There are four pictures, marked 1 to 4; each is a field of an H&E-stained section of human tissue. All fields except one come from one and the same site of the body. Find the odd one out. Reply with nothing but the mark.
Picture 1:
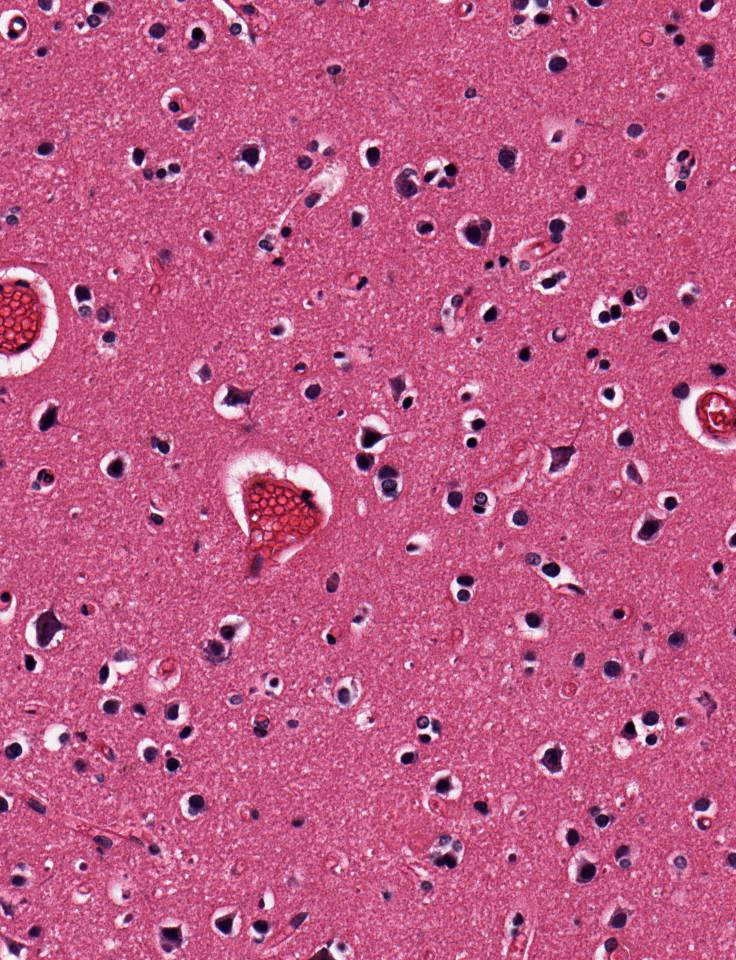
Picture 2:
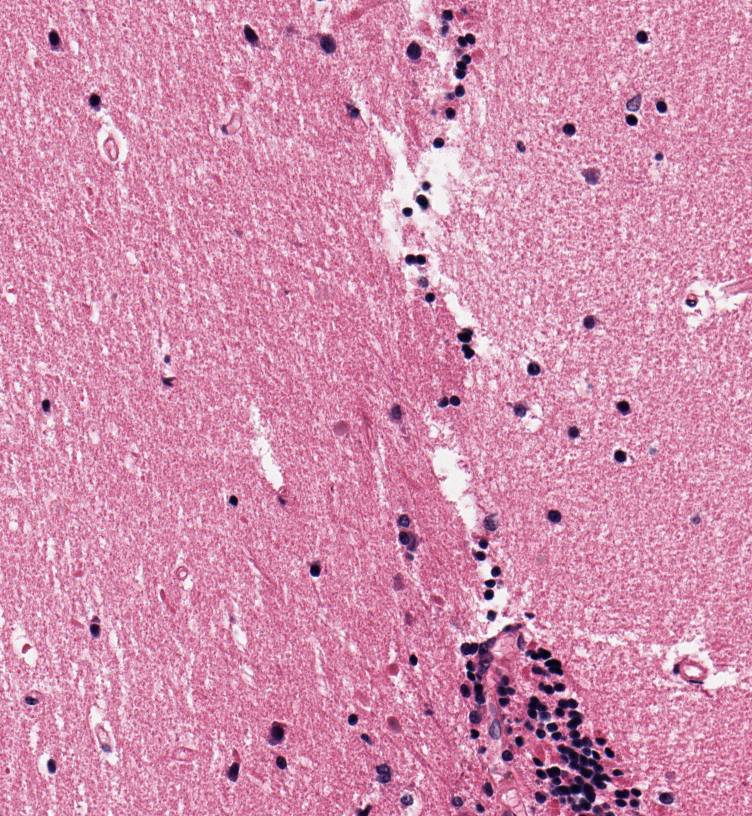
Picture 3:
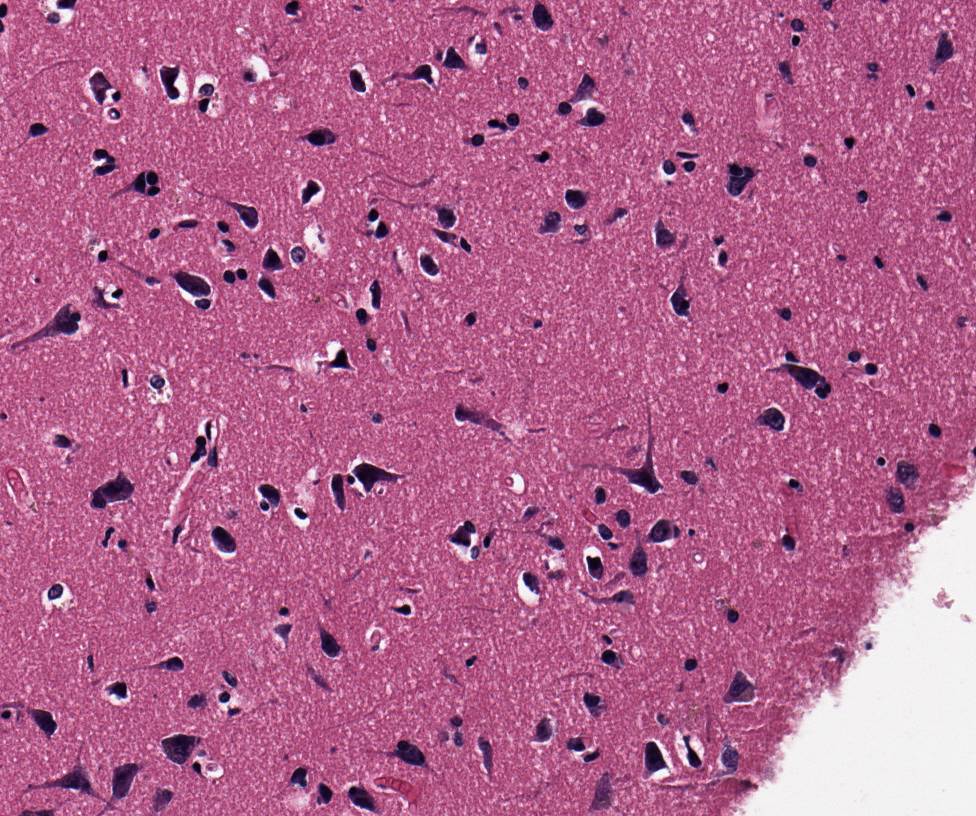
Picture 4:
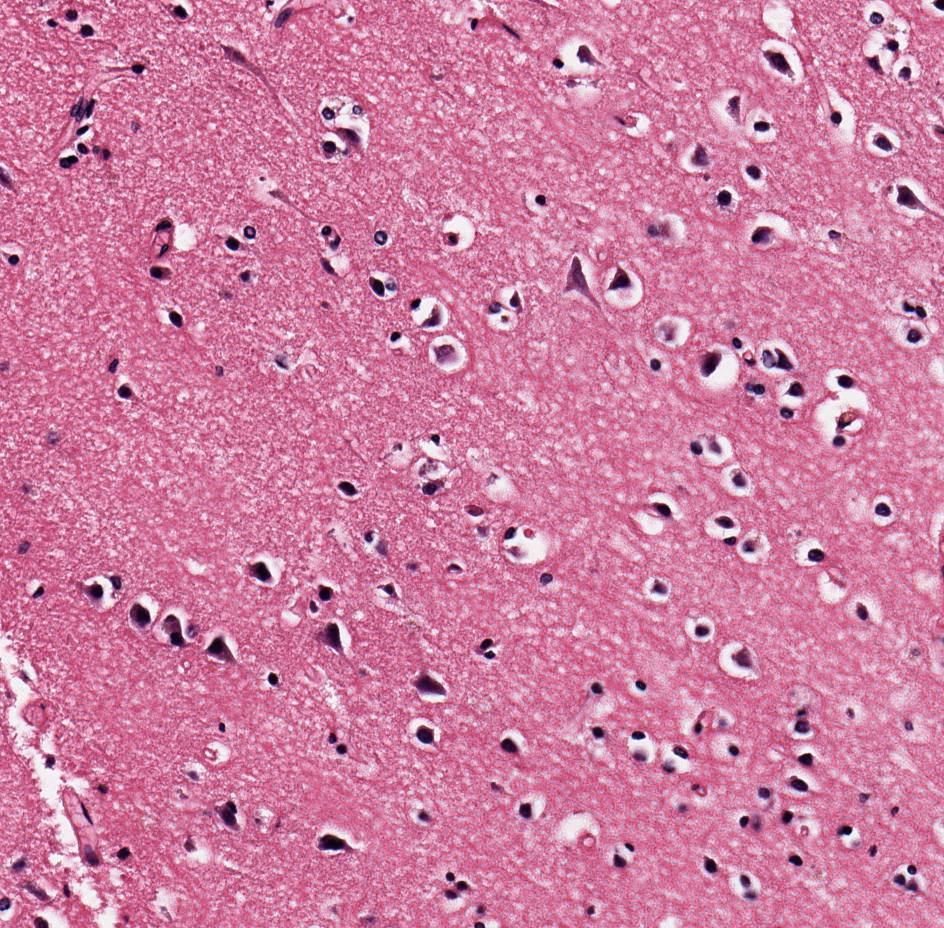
2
